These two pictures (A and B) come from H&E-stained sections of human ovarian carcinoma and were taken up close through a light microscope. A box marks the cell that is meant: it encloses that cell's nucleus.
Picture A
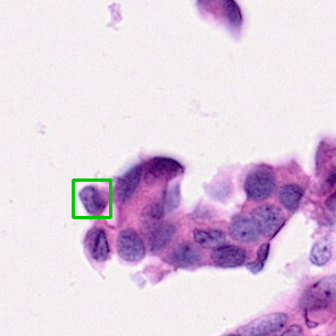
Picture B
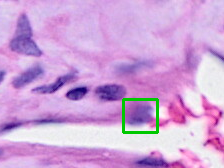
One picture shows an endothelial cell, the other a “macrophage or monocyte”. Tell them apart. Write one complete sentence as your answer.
The cell in picture A is a “macrophage or monocyte”, and the one in picture B is an endothelial cell.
